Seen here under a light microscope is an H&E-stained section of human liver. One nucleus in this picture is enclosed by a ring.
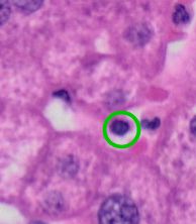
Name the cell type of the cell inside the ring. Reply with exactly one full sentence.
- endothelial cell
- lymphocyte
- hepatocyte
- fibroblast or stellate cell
On this particular slide, the cell inside the ring is a lymphocyte.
